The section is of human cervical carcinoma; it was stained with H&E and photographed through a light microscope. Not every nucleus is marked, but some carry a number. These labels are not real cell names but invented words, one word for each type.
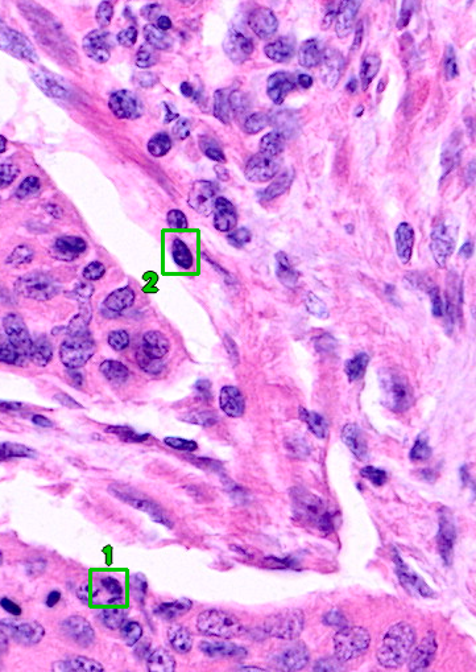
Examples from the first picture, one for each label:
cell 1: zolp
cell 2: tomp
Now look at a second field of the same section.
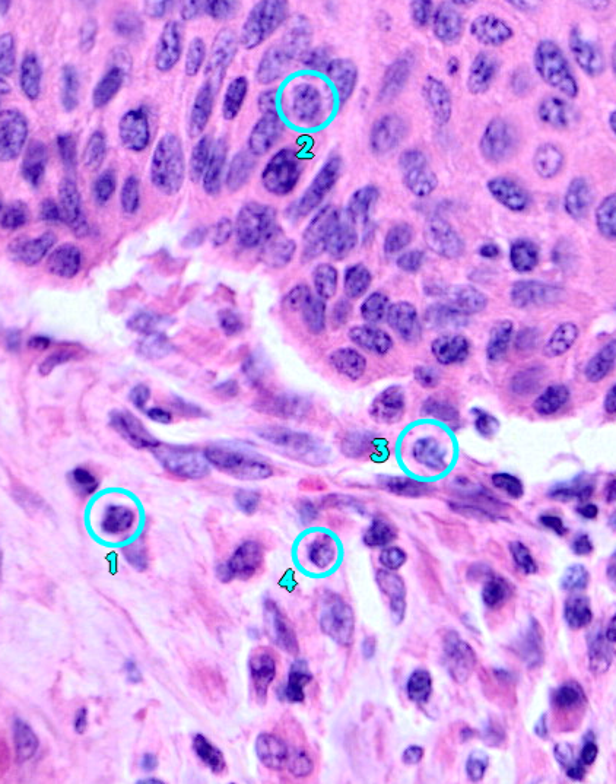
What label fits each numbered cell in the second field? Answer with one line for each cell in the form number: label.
1: tomp
2: zolp
3: tomp
4: tomp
